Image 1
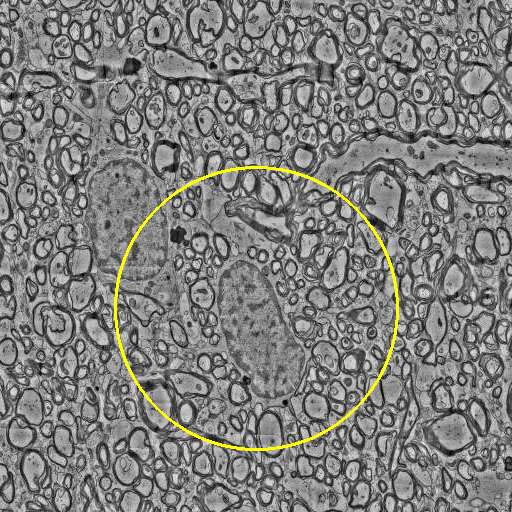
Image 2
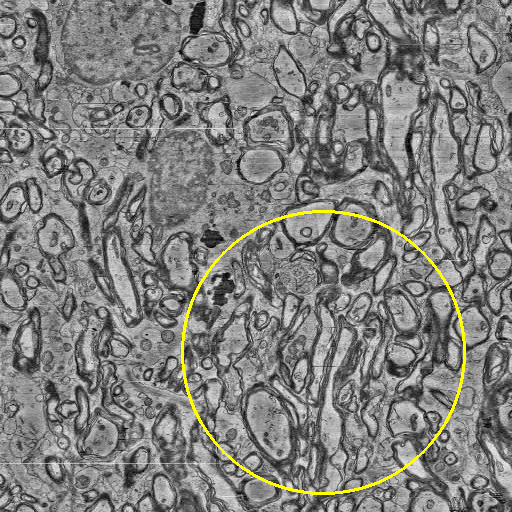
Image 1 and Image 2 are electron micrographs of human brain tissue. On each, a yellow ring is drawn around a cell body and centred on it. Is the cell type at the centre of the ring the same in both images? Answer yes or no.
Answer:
yes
